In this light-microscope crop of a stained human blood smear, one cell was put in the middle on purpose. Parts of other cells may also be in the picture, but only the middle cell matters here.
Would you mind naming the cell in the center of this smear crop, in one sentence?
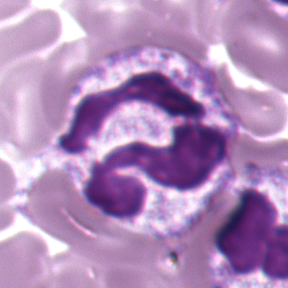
The identification for the central cell is a neutrophil.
